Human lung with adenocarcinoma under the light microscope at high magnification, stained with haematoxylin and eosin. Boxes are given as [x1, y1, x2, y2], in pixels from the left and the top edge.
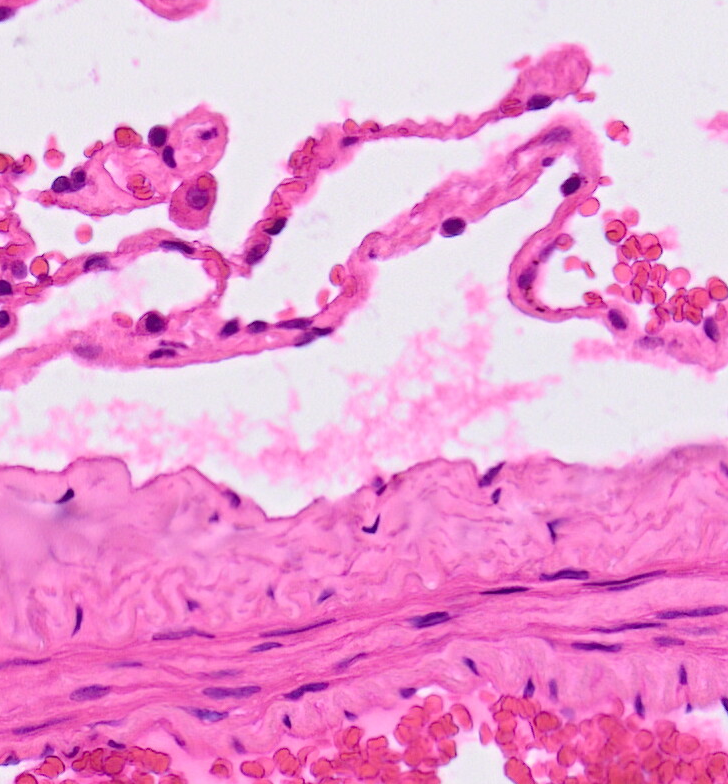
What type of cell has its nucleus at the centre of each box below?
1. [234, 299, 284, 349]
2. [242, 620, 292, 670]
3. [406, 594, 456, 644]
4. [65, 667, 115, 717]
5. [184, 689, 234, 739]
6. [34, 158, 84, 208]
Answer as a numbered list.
1. type I pneumocyte
2. smooth muscle cell or pericyte
3. smooth muscle cell or pericyte
4. smooth muscle cell or pericyte
5. smooth muscle cell or pericyte
6. type I pneumocyte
